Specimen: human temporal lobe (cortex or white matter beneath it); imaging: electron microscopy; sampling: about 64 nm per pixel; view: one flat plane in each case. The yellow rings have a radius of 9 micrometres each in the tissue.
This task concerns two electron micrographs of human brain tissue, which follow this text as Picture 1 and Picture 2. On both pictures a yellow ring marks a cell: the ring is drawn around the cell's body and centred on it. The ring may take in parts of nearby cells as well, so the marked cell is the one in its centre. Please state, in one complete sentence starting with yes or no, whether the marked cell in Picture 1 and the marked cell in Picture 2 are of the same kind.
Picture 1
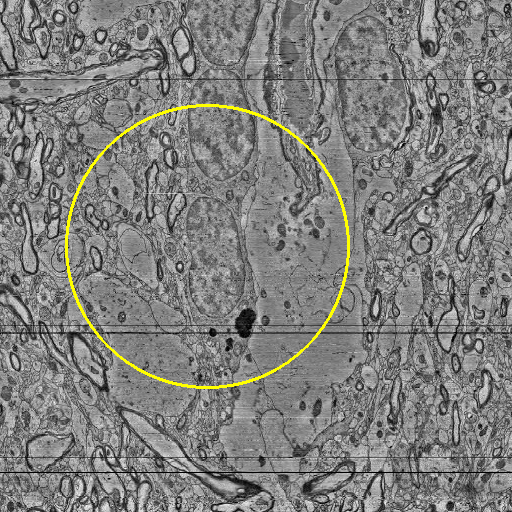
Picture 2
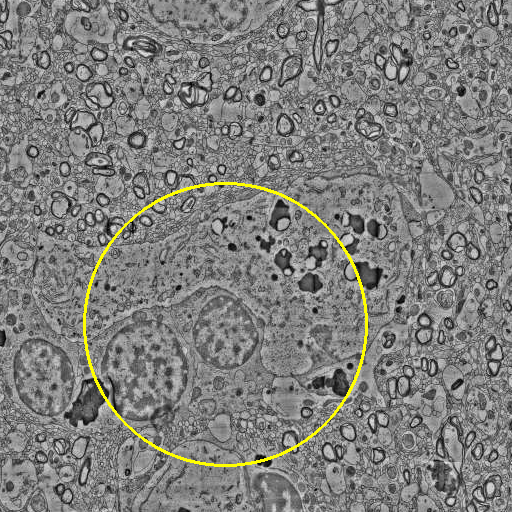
Yes, the marked cells in both pictures are of the same kind.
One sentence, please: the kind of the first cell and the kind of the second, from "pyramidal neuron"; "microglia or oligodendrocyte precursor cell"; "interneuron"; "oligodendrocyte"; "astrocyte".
Both rings mark an oligodendrocyte, one in each picture.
